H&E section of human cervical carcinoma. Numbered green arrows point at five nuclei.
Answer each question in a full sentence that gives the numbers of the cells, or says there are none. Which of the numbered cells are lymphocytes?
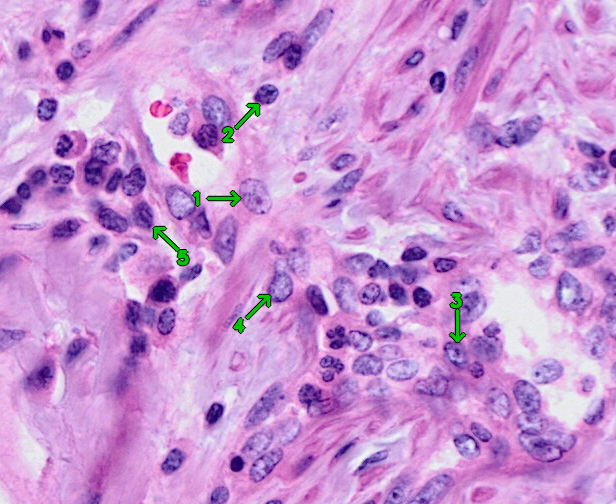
The cells numbered 2 and 5 are of the kind known as lymphocytes.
